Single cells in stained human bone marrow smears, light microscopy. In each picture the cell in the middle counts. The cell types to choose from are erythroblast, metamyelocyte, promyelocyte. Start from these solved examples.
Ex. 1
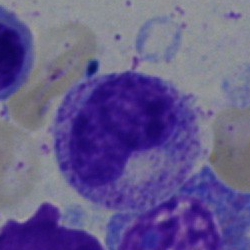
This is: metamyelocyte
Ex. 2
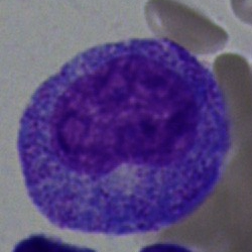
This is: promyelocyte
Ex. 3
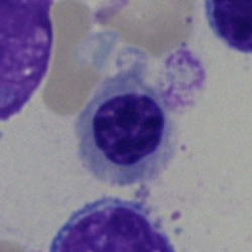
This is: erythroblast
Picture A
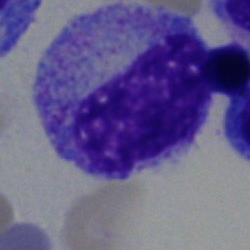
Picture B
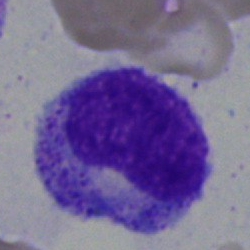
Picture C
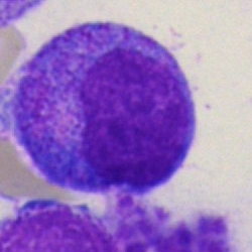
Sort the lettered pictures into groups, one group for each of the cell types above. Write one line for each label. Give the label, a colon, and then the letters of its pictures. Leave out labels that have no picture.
metamyelocyte: A, B
promyelocyte: C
